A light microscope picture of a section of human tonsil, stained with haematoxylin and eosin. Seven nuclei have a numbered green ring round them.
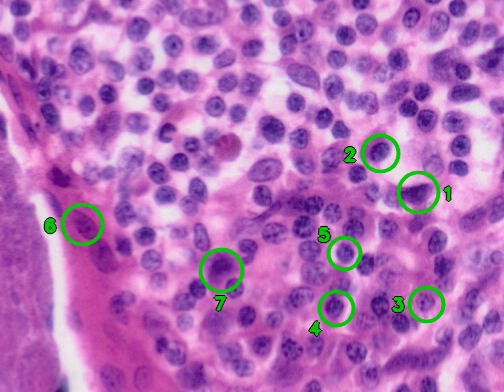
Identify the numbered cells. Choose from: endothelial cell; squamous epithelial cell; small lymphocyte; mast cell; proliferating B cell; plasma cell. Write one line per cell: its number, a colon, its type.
1: squamous epithelial cell
2: plasma cell
3: plasma cell
4: plasma cell
5: plasma cell
6: squamous epithelial cell
7: squamous epithelial cell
